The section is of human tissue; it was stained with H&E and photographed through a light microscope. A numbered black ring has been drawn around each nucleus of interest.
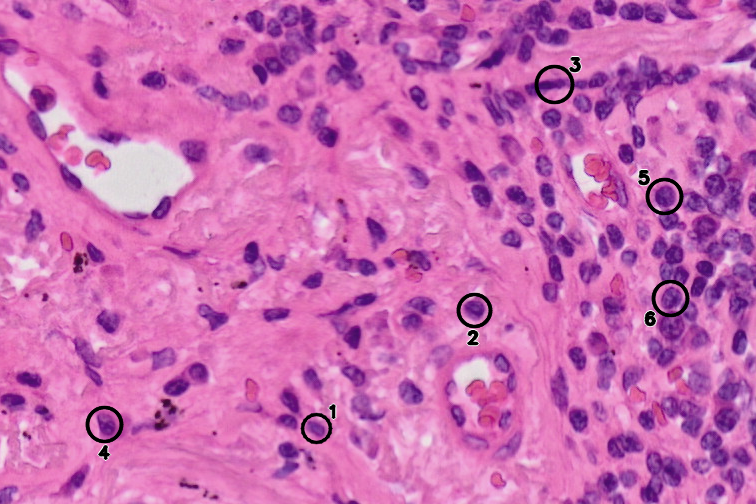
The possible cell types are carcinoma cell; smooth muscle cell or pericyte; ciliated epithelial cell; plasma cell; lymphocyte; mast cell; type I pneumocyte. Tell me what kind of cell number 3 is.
lymphocyte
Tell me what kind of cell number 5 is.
lymphocyte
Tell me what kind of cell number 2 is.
lymphocyte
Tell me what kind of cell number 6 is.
lymphocyte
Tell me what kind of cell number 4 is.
plasma cell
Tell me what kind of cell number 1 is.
mast cell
